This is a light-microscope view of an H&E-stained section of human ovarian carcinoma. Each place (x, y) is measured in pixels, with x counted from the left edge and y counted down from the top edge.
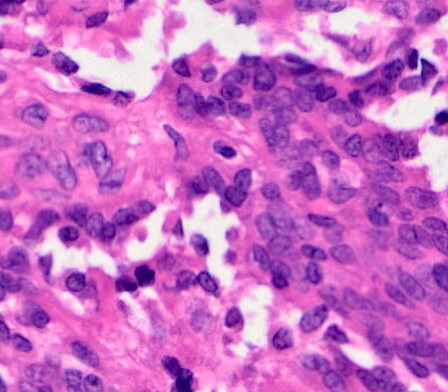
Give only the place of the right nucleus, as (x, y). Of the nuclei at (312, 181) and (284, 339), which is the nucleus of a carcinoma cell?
(312, 181)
